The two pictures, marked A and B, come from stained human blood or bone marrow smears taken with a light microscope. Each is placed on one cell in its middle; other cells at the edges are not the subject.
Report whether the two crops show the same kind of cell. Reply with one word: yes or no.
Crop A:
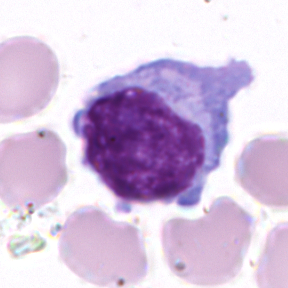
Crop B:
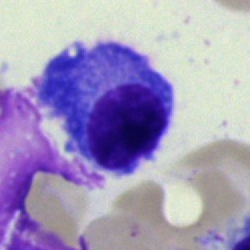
yes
